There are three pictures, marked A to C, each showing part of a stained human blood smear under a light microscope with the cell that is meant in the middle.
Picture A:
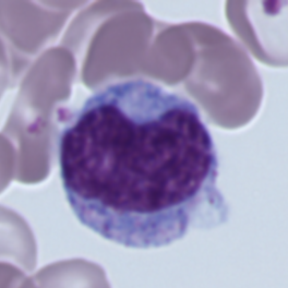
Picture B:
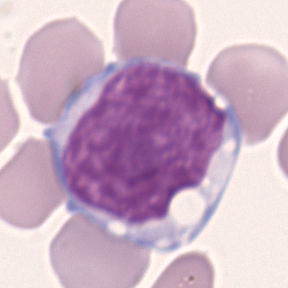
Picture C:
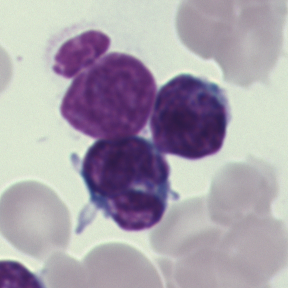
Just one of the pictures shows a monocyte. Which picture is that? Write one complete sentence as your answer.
The monocyte is the one in picture A.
